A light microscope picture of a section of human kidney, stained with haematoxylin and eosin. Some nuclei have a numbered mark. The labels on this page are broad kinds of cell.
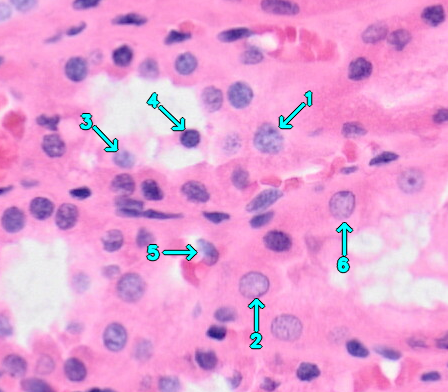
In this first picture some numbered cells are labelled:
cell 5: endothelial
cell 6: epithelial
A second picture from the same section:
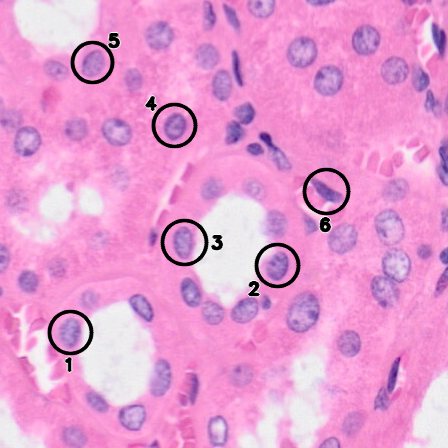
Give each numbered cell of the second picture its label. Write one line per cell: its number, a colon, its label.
1: epithelial
2: epithelial
3: epithelial
4: epithelial
5: epithelial
6: endothelial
